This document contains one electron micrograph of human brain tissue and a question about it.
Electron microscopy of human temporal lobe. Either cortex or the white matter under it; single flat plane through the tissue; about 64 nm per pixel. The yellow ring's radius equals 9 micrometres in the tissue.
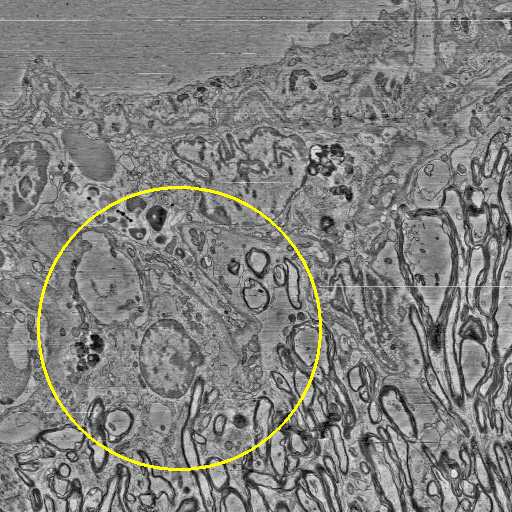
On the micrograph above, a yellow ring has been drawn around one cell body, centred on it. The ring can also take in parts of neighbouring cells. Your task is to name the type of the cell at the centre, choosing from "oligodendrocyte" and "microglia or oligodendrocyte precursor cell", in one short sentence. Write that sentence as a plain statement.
Here the ring is centred on a microglial cell or oligodendrocyte precursor cell.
